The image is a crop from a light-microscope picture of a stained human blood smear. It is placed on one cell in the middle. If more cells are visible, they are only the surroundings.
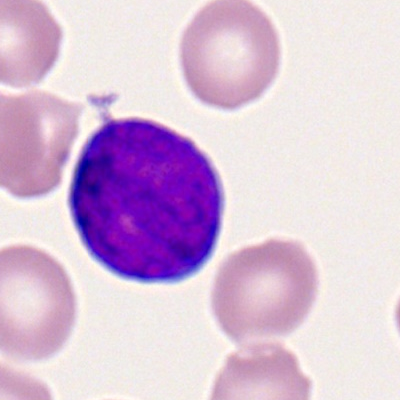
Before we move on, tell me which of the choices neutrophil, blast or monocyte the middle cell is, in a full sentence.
At the middle of the frame sits a blast.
